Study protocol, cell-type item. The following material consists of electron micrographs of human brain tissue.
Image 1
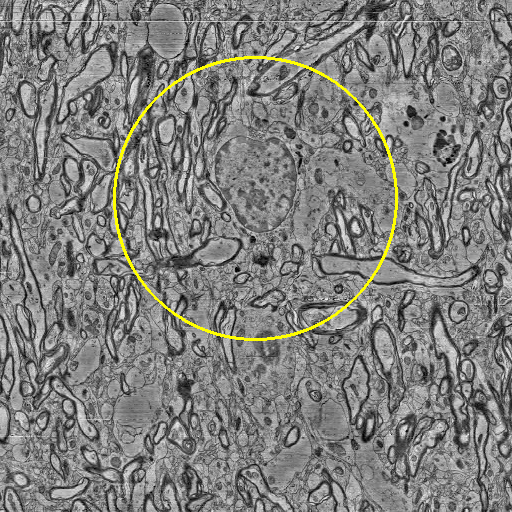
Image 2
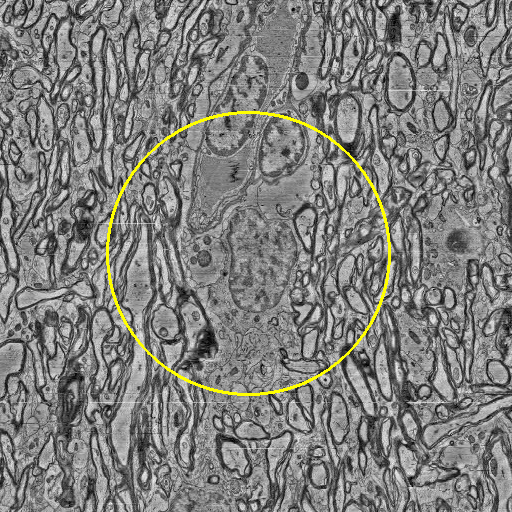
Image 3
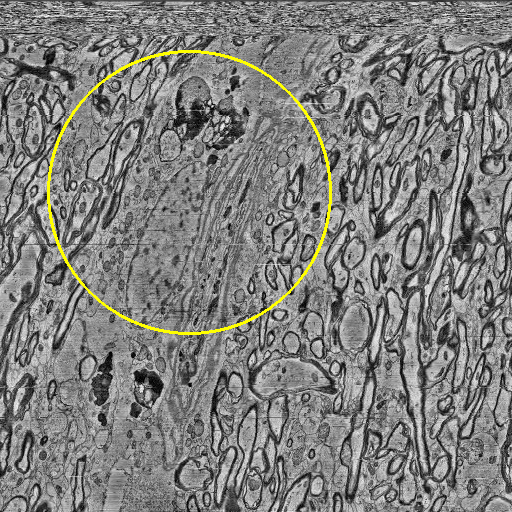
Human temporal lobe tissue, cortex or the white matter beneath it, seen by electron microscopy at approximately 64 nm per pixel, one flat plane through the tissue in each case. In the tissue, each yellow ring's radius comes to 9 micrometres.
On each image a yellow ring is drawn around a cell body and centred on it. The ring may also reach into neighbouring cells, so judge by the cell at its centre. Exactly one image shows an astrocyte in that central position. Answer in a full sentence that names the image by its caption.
The cell at the centre of the ring in Image 3 is of that kind.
